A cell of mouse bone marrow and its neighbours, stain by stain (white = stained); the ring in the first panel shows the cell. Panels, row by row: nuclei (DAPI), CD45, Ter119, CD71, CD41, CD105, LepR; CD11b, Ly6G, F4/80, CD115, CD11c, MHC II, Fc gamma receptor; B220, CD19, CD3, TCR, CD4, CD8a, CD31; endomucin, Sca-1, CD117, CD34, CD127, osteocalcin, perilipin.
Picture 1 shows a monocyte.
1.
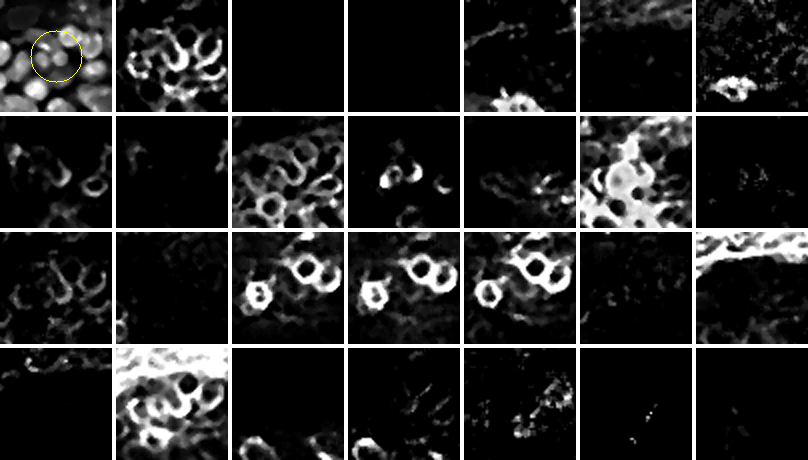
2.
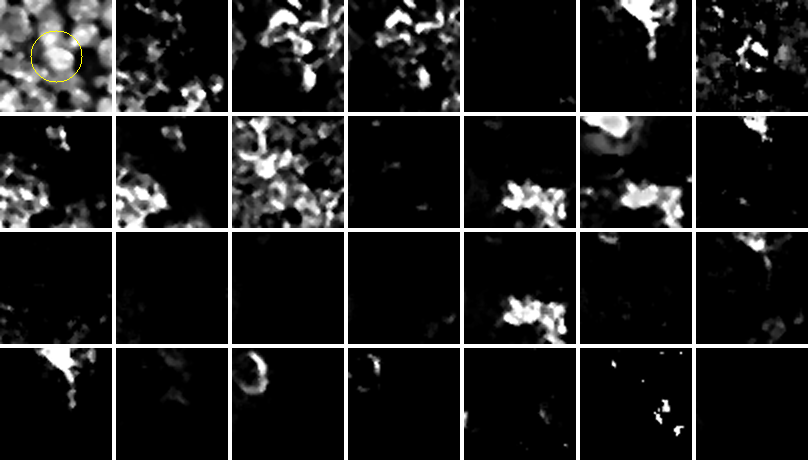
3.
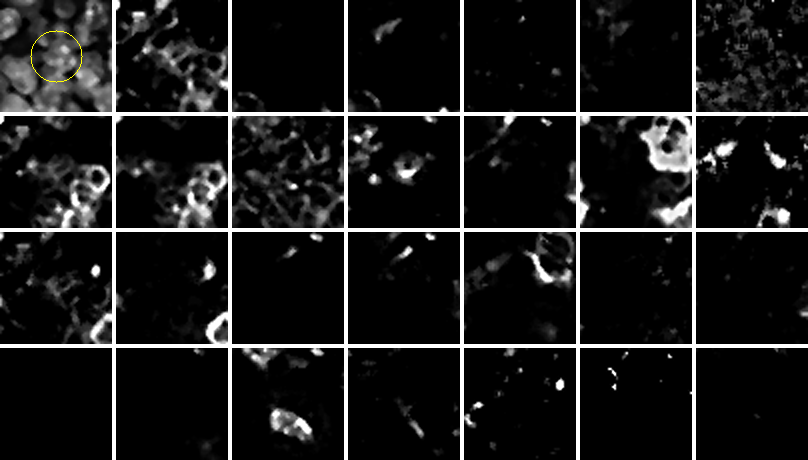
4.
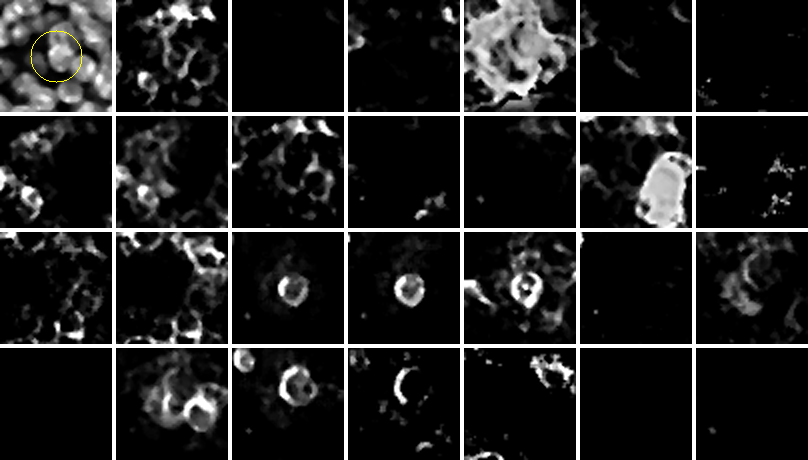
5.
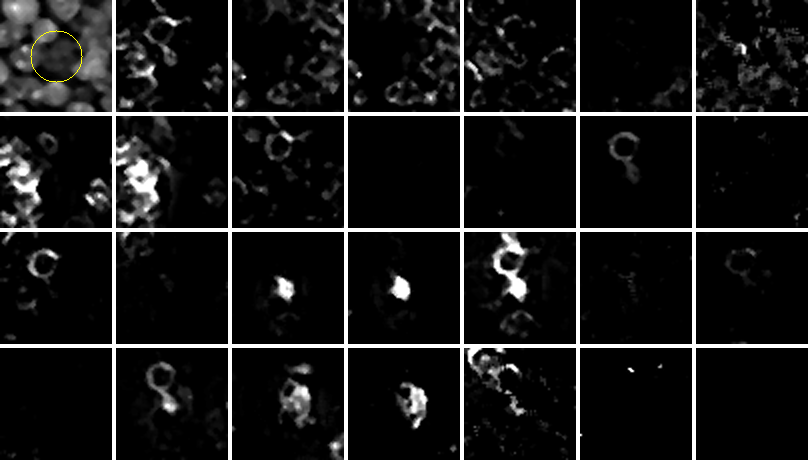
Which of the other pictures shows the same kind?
Picture 3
